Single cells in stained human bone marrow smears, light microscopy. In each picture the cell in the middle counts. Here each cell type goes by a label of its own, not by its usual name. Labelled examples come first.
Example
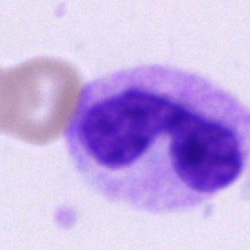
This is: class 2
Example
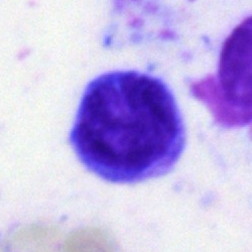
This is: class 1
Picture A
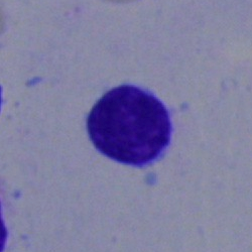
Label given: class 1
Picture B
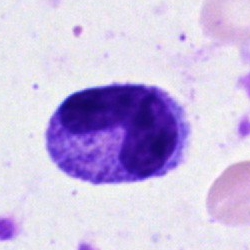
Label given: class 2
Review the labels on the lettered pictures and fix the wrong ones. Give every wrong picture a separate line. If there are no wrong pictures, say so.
None of the labels needs changing.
